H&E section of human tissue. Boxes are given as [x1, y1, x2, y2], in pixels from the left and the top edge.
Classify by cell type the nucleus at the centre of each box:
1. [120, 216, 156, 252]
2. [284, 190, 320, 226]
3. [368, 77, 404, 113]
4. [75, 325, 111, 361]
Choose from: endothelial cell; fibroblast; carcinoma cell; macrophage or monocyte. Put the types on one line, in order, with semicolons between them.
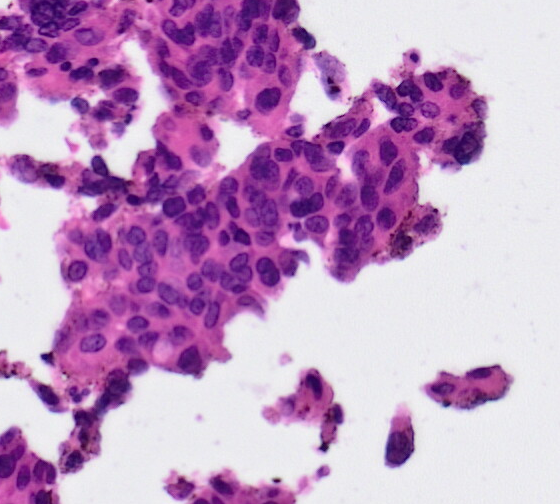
carcinoma cell; carcinoma cell; carcinoma cell; macrophage or monocyte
